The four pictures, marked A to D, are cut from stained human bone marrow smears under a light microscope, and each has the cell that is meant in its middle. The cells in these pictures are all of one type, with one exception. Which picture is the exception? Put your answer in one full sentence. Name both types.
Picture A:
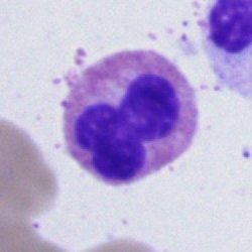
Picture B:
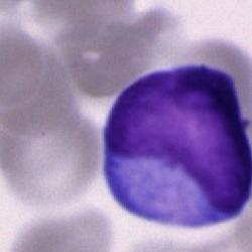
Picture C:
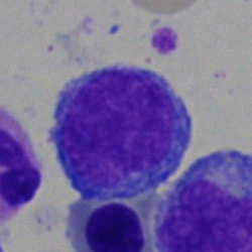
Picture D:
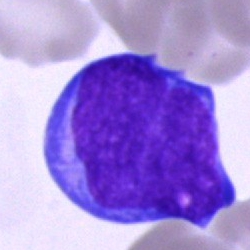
All pictures except A show blasts; picture A shows an eosinophil.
